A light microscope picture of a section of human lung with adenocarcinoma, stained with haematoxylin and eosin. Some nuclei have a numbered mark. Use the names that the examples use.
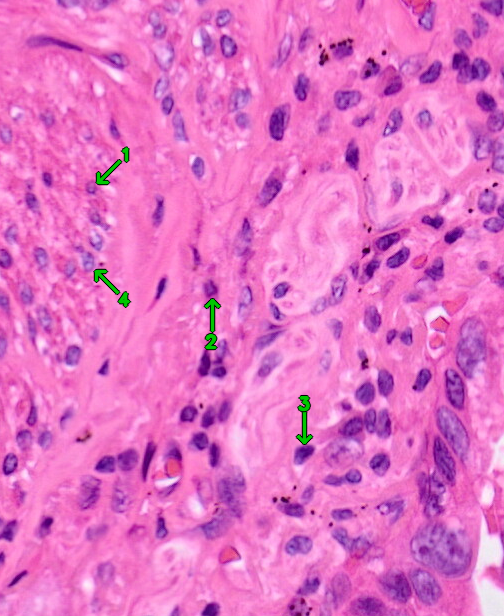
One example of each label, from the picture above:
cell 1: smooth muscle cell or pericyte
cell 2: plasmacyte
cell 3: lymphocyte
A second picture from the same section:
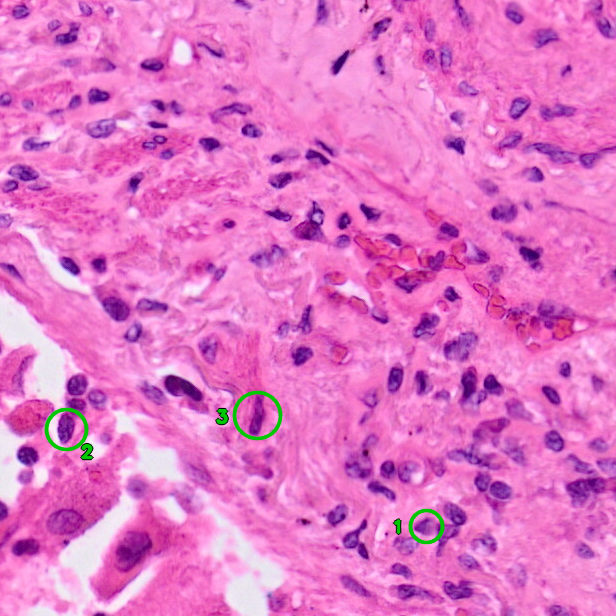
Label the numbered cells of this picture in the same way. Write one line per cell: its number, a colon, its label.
1: lymphocyte
2: lymphocyte
3: smooth muscle cell or pericyte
